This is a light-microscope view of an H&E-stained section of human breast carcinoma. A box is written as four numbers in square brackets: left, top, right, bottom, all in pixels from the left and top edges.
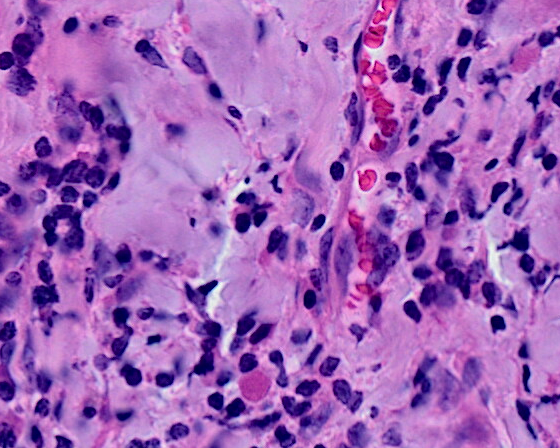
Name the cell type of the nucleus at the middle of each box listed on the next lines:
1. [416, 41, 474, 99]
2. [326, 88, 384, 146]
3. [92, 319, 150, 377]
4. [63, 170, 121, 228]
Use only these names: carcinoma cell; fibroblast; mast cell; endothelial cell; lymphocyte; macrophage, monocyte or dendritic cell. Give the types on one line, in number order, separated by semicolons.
lymphocyte; endothelial cell; lymphocyte; lymphocyte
